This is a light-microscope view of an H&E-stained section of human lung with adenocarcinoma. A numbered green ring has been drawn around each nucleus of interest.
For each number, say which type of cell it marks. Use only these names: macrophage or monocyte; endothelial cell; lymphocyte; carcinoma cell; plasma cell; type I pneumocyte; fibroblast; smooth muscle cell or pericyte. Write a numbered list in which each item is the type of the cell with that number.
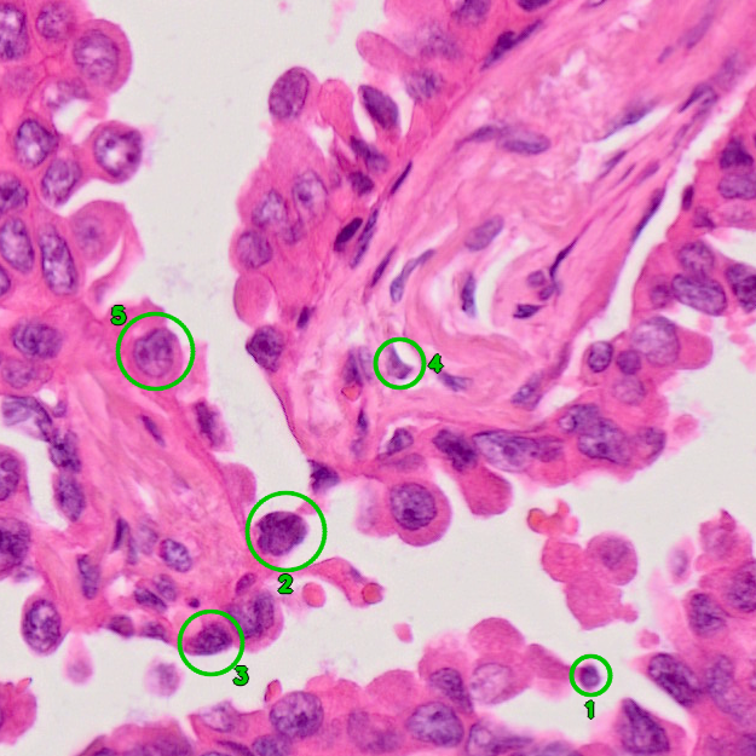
1. lymphocyte
2. carcinoma cell
3. carcinoma cell
4. fibroblast
5. carcinoma cell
